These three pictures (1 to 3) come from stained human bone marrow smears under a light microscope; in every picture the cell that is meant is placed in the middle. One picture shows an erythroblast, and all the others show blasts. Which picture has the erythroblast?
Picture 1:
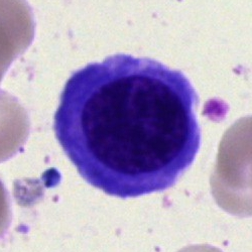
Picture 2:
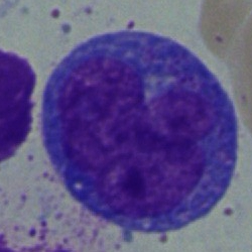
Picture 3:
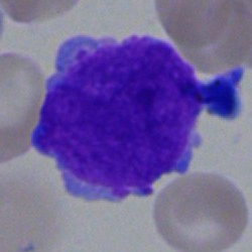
1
